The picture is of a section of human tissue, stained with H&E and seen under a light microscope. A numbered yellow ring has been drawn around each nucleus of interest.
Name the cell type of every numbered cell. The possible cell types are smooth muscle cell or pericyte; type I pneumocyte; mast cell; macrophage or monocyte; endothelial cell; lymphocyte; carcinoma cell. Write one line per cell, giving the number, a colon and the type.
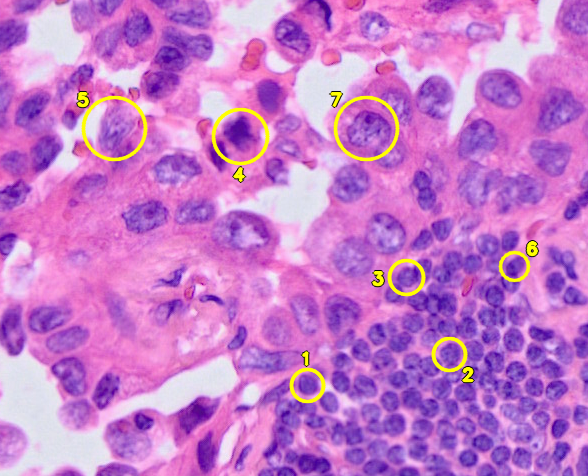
1: lymphocyte
2: lymphocyte
3: lymphocyte
4: carcinoma cell
5: carcinoma cell
6: lymphocyte
7: carcinoma cell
